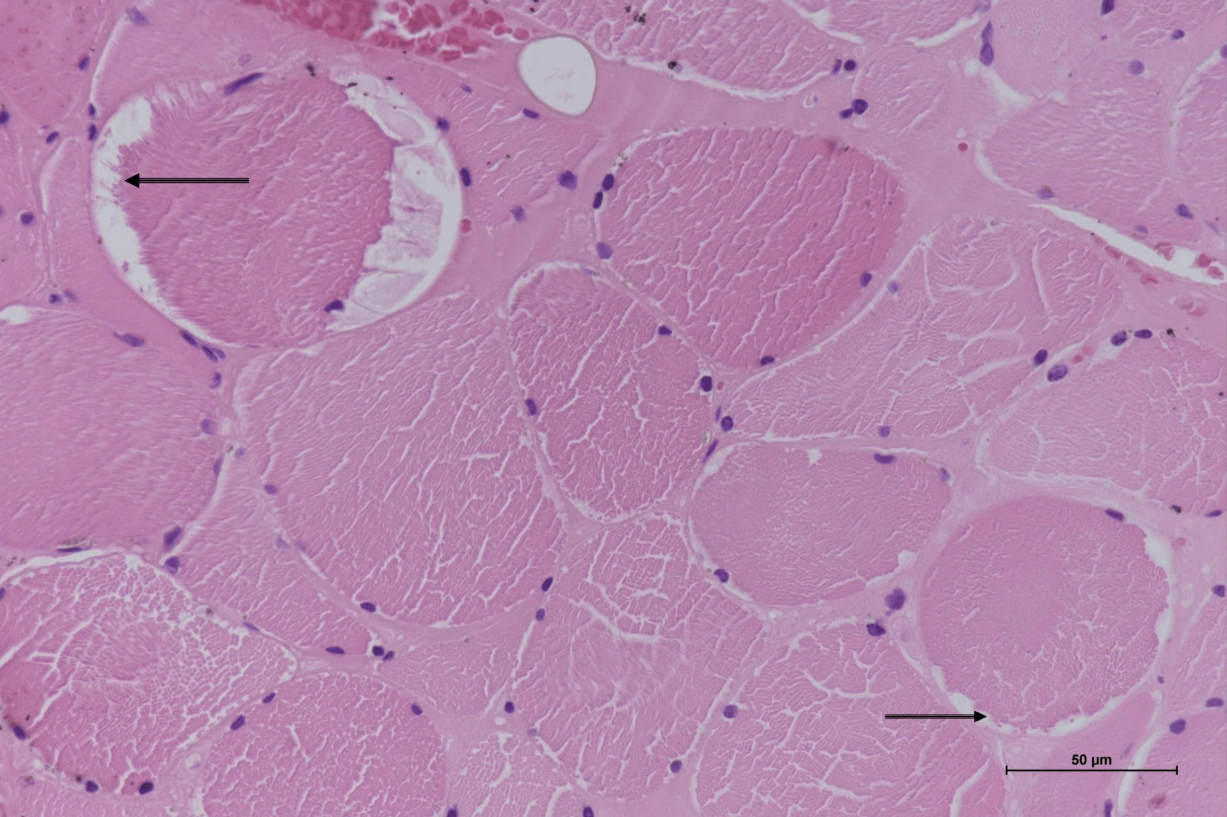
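Skeletal muscle in cross-section, with rounded to polygonal pink myofibres of varying size, cytoplasm showing fine artefactual cracks, and small dark peripheral nuclei at the fibre borders. Two fibres contain optically empty, crescent-shaped vacuoles lying just beneath the fibre border. Pale pink endomysial connective tissue separates the fibres, slightly widened in places, with no inflammatory infiltrate.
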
